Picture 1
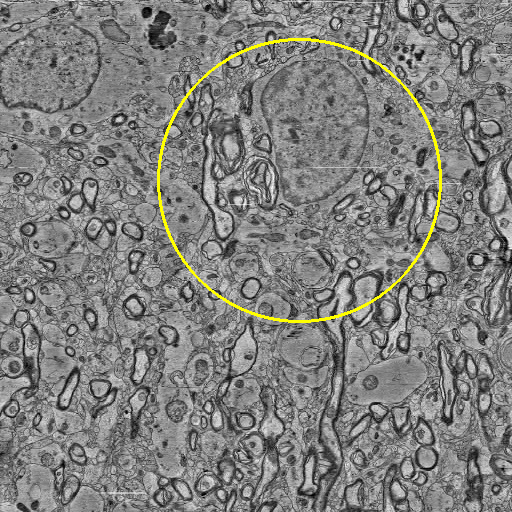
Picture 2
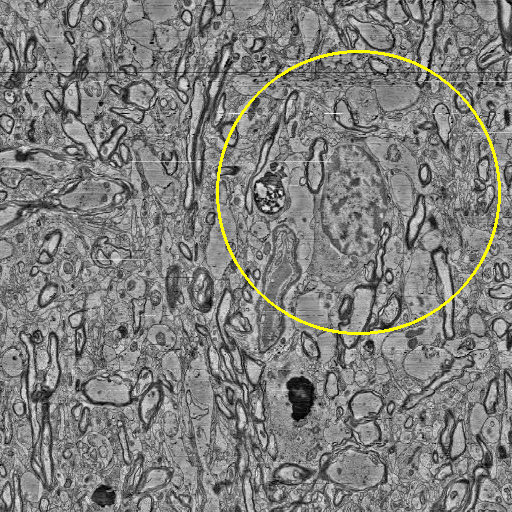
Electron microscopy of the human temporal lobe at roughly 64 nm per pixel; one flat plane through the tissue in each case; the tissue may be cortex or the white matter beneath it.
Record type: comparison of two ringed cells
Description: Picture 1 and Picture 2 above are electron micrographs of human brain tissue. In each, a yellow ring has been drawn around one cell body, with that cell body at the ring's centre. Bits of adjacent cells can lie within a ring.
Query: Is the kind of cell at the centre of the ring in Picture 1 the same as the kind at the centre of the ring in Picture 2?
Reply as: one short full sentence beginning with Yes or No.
Yes, the two ringed cells are of the same kind.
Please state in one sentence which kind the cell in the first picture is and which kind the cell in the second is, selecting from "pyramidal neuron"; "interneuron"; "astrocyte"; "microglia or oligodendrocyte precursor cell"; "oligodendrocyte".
The cell at the ring centre is an oligodendrocyte in both pictures.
